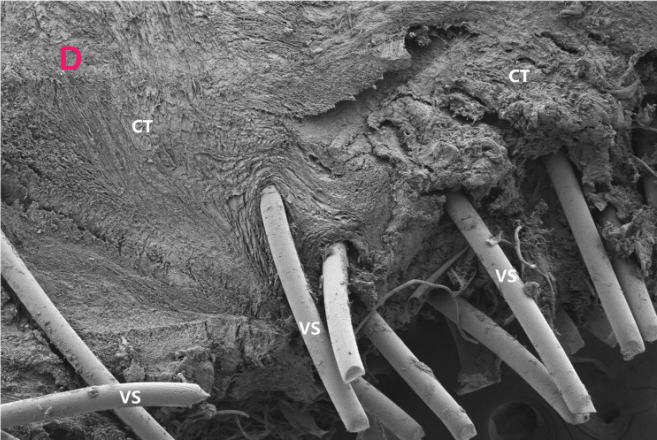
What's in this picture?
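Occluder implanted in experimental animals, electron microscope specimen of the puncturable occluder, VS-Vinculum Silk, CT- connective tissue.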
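The tissue forms a continuous mat with a fibrous, streaming texture and a rougher, more irregular surface towards the right. Smooth, straight cylindrical filaments with cut ends project from beneath the edge of the tissue sheet. The lower part of the field is less covered, so the filaments lie exposed there.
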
